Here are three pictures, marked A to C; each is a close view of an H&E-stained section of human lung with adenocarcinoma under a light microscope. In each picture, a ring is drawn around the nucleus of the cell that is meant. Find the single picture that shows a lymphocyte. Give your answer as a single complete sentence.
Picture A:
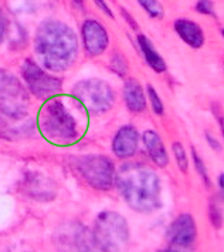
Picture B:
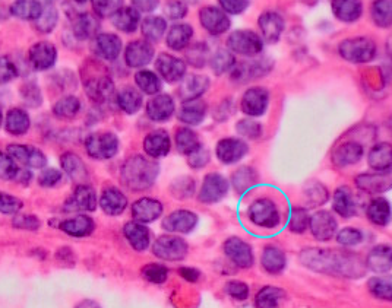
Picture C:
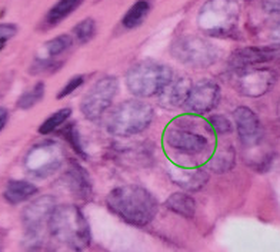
Picture B shows the lymphocyte.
